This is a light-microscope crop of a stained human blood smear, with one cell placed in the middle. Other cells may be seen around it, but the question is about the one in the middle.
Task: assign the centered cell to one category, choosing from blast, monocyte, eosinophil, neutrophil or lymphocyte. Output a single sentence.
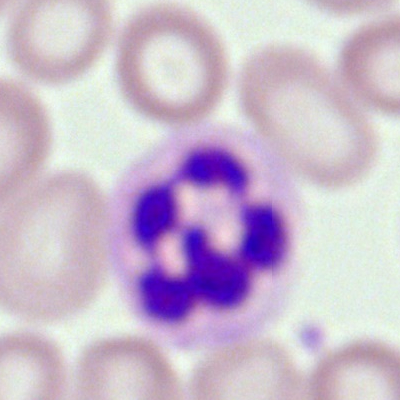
The cell of interest, located centrally, is a neutrophil.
